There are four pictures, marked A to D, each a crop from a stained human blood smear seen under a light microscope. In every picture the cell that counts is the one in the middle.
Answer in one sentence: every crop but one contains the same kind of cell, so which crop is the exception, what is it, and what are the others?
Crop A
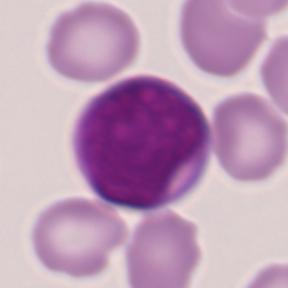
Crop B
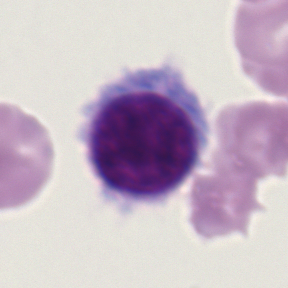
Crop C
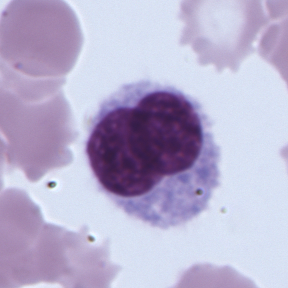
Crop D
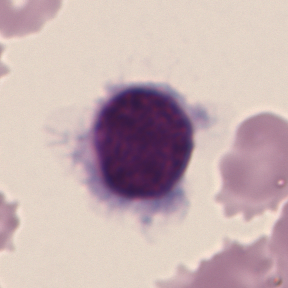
Among these crops, hairy cells occur in all but crop A, which contains a myeloblast.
